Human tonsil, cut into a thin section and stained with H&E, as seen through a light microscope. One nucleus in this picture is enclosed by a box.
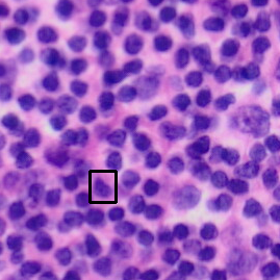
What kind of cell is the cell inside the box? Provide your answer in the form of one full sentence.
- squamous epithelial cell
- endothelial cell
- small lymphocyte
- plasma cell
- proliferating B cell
The identity of the cell inside the box: it is a small lymphocyte.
